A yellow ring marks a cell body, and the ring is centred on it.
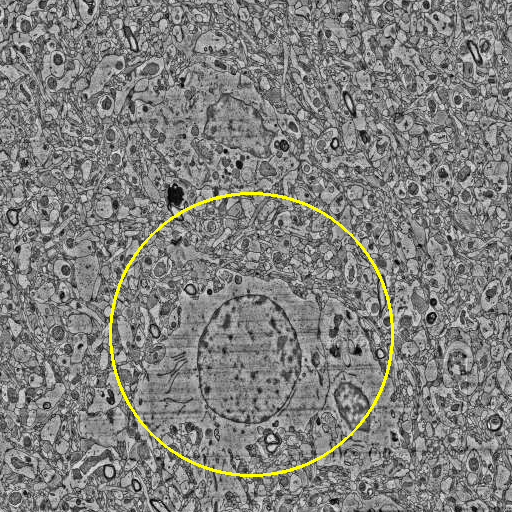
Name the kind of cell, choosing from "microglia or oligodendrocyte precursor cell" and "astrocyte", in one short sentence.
The marked cell body belongs to an astrocyte.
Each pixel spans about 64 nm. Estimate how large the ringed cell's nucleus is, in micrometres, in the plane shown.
About 8 by 7 micrometers, in this plane.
